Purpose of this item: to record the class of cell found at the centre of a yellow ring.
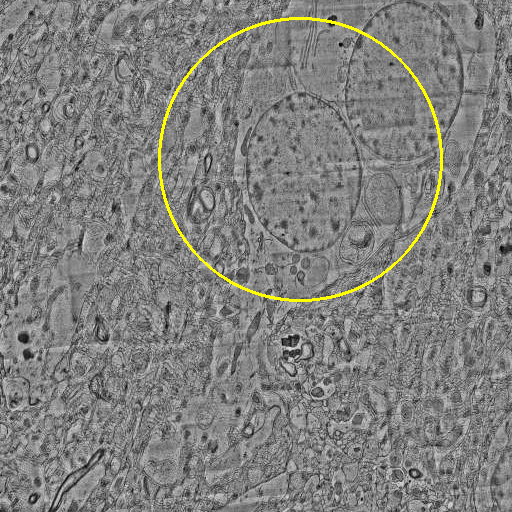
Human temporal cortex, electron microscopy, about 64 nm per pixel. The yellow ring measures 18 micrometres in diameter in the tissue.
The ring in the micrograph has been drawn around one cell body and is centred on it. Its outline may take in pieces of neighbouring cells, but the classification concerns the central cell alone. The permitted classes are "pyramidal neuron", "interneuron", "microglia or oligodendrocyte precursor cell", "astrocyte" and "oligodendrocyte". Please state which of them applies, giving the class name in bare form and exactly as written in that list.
astrocyte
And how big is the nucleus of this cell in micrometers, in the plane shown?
Roughly 10 by 7 micrometres is the size of the nucleus in this plane.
